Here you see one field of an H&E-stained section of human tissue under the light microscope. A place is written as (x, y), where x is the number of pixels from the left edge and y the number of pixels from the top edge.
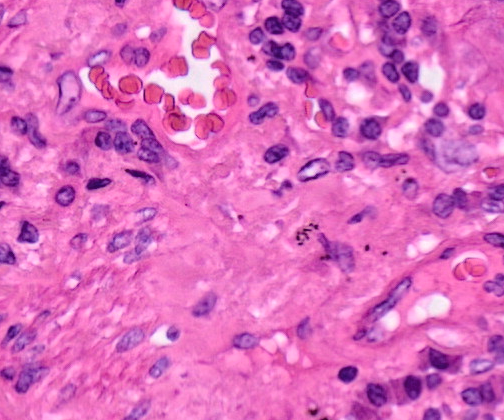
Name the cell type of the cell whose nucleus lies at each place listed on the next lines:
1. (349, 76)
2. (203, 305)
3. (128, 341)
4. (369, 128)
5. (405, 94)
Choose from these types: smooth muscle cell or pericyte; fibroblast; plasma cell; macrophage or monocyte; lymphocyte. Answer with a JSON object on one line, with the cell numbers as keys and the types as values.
{"1": "lymphocyte", "2": "fibroblast", "3": "smooth muscle cell or pericyte", "4": "plasma cell", "5": "lymphocyte"}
